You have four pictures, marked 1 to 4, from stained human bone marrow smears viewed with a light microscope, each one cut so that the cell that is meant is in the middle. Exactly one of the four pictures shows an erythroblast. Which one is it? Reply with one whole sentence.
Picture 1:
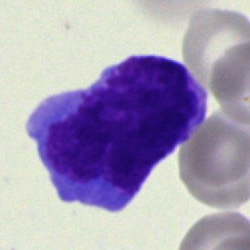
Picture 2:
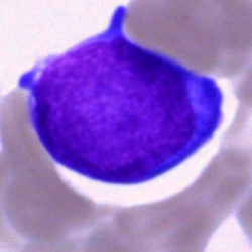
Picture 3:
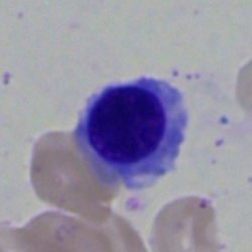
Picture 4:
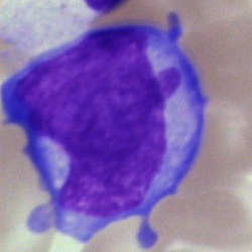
It is picture 3 that shows the erythroblast.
